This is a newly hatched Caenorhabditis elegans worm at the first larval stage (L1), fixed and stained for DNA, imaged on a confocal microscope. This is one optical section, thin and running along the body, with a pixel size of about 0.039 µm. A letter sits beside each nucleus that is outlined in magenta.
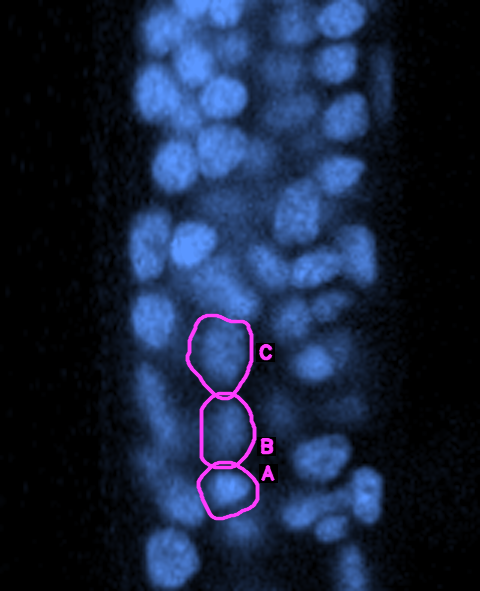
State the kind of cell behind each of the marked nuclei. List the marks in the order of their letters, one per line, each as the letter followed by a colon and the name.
A: pharyngeal gland cell
B: pharyngeal muscle cell
C: pharyngeal muscle cell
